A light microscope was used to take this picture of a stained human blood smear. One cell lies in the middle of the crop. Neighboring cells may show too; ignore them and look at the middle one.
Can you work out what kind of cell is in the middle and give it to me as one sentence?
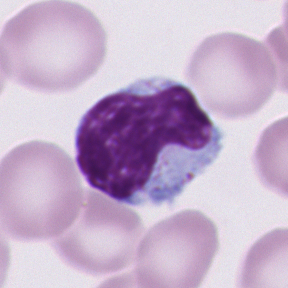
By classification, the middle cell of this crop is a typical lymphocyte.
